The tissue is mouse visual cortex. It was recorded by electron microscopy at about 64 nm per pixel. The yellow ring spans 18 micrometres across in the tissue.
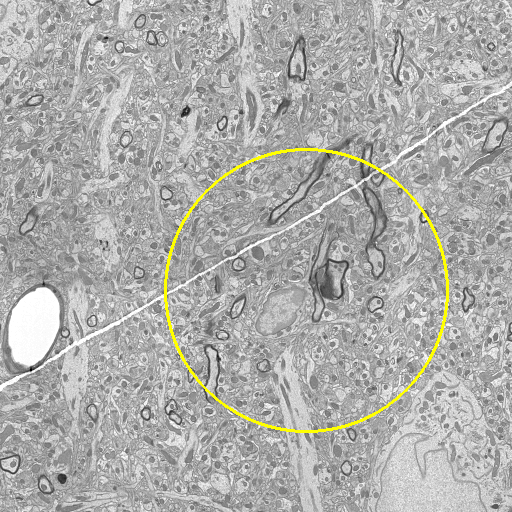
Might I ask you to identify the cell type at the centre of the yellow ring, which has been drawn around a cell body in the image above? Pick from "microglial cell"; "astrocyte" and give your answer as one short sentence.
The centre of the ring falls on a microglial cell.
